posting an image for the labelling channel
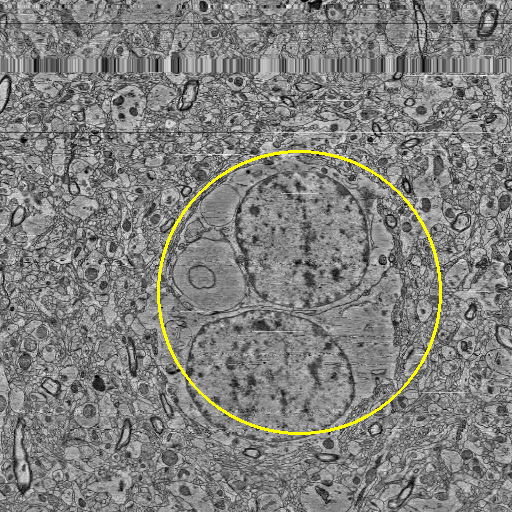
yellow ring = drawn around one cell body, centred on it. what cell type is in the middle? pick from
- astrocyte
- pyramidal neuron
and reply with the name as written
astrocyte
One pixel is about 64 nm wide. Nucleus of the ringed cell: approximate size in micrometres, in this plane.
The ringed cell's nucleus is about 9 micrometres across in this plane.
